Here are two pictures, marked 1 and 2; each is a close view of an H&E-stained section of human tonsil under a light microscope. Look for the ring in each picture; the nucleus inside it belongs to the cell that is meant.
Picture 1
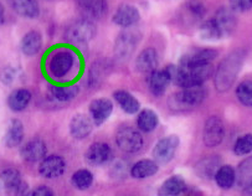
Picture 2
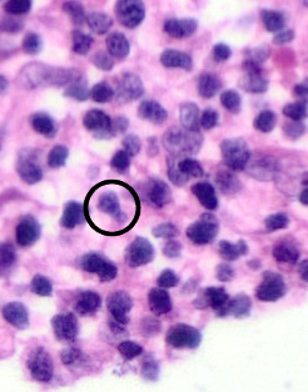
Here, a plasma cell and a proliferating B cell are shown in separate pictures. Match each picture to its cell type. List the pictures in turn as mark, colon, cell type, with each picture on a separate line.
1: plasma cell
2: proliferating B cell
